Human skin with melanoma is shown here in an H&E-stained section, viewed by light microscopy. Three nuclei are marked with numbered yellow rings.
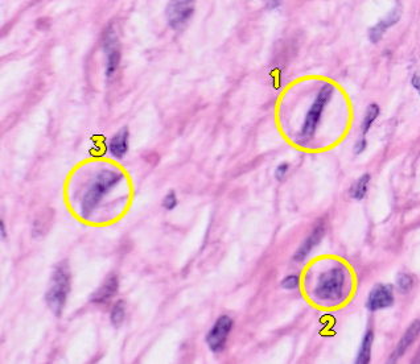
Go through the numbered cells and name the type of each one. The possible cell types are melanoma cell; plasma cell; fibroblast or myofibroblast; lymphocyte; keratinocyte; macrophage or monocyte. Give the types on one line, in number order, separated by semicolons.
fibroblast or myofibroblast; macrophage or monocyte; fibroblast or myofibroblast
